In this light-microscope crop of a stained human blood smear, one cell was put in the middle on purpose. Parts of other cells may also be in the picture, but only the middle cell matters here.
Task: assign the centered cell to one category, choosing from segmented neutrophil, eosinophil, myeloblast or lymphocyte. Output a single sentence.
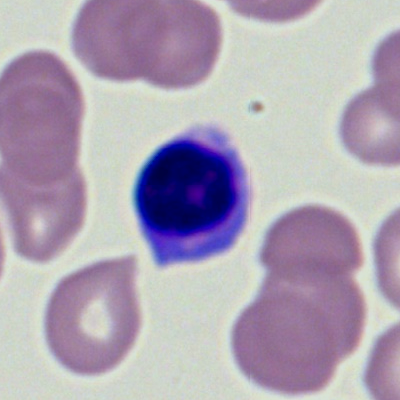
In the middle of this smear crop is a lymphocyte.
